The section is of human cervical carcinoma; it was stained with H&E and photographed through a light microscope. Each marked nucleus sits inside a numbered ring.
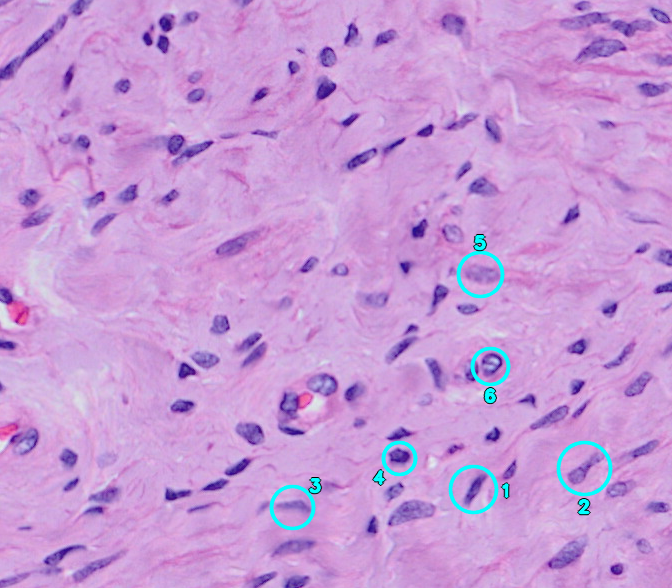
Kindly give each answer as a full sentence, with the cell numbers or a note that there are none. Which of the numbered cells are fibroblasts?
The cells referred to by numbers 1, 2, 3 and 4 are fibroblasts.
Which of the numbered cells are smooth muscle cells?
The numbered cells include exactly one that is a smooth muscle cell, which is cell 5.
